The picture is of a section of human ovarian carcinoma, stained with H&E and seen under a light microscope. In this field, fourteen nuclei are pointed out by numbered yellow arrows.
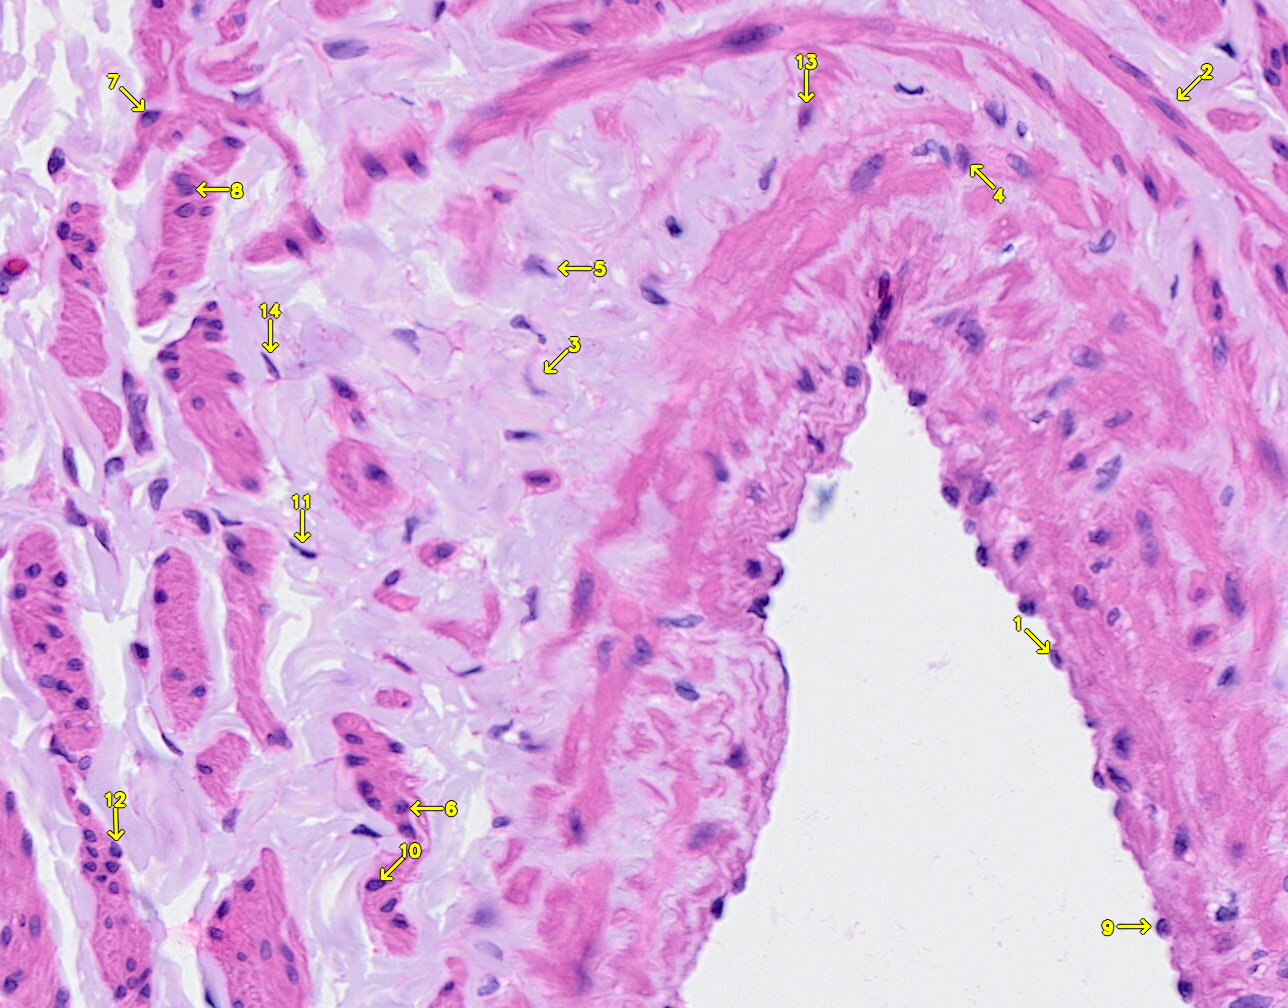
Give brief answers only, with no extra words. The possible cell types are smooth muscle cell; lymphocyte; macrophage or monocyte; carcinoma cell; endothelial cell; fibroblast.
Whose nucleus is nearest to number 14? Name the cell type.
smooth muscle cell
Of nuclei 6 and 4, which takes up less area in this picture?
6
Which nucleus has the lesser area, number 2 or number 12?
12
